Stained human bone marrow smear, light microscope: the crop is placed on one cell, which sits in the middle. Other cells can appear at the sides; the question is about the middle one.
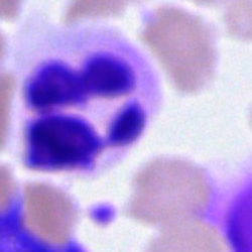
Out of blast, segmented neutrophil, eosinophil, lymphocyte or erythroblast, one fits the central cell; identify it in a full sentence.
The cell marked by its central position in the crop is a segmented neutrophil.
